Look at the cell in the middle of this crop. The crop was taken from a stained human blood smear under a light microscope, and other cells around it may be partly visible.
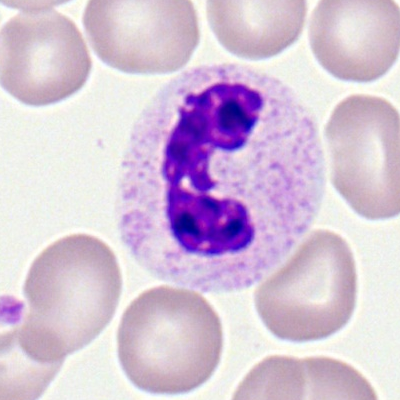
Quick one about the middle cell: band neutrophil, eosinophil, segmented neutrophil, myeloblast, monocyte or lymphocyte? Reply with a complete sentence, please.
As for the central cell, it is a band neutrophil.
